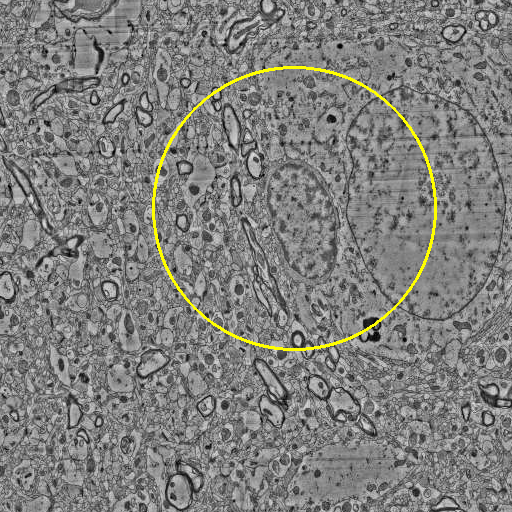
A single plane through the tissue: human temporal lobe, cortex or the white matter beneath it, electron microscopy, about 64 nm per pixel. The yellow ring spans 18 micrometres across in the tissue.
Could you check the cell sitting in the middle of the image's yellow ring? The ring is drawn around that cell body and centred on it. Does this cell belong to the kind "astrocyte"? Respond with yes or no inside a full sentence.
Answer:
No, this cell in the middle of the yellow ring is one of a different kind.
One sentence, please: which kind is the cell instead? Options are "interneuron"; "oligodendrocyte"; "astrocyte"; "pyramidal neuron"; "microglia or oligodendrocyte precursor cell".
The ring's central cell is an oligodendrocyte instead.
